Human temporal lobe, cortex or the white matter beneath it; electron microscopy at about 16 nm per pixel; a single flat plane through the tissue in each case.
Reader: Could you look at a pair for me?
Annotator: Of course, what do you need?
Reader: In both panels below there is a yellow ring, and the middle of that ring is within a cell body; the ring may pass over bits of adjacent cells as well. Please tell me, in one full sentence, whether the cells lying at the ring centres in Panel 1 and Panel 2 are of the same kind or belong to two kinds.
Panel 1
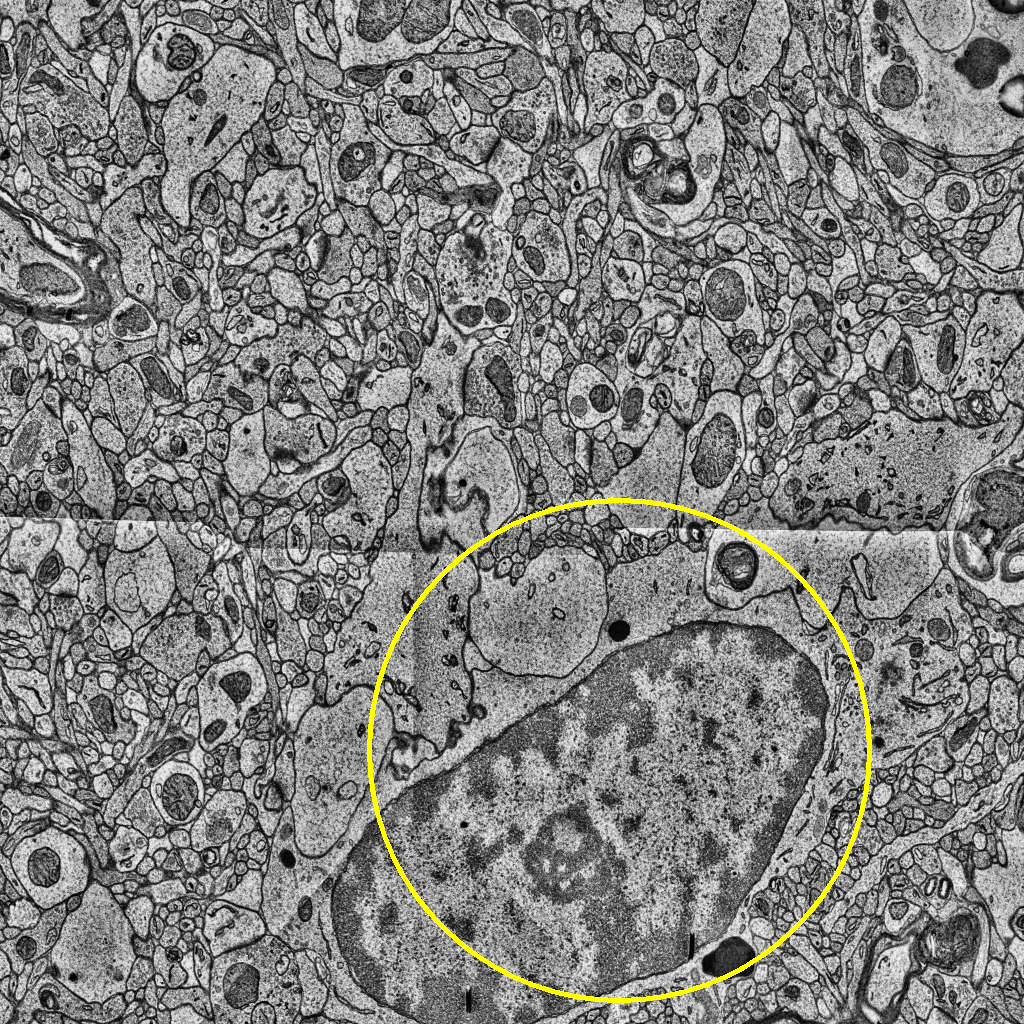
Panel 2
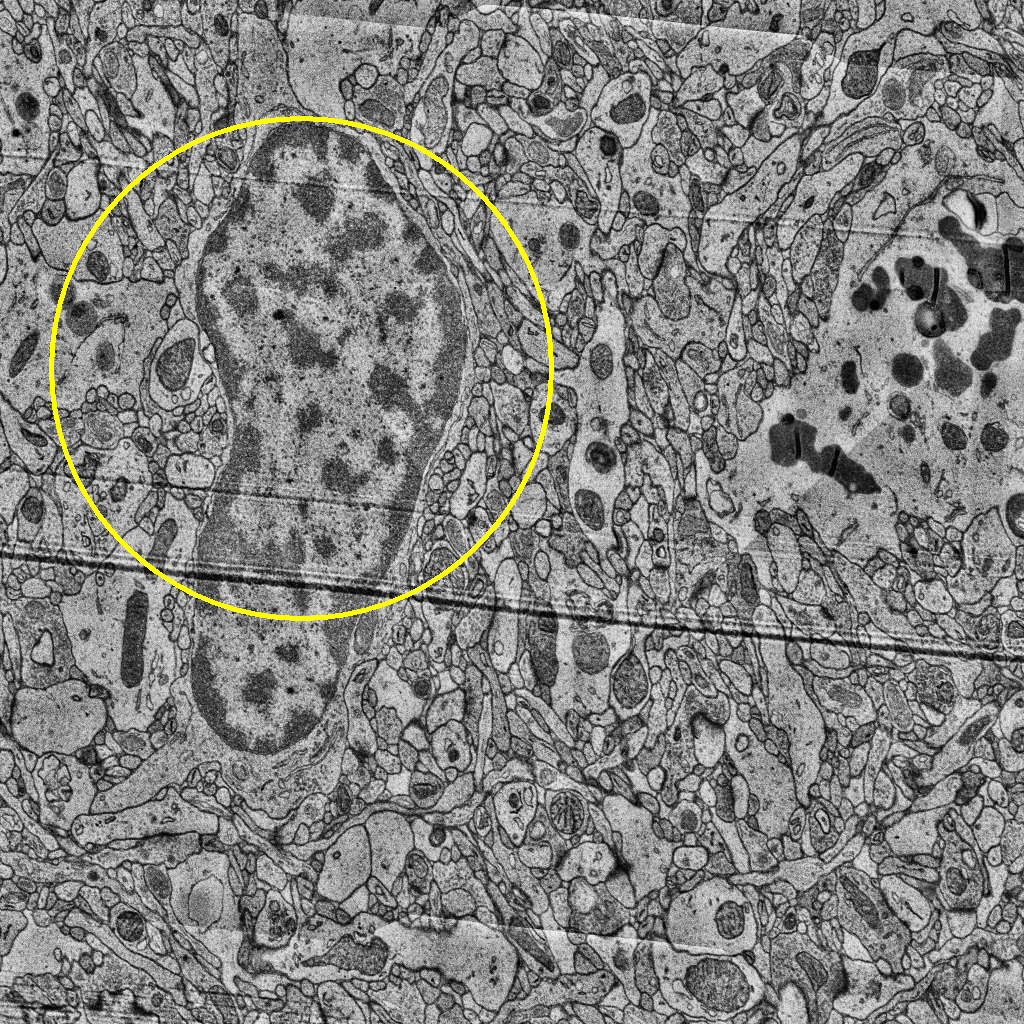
The cell at the ring's centre in Panel 1 and the one in Panel 2 are of the same kind.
